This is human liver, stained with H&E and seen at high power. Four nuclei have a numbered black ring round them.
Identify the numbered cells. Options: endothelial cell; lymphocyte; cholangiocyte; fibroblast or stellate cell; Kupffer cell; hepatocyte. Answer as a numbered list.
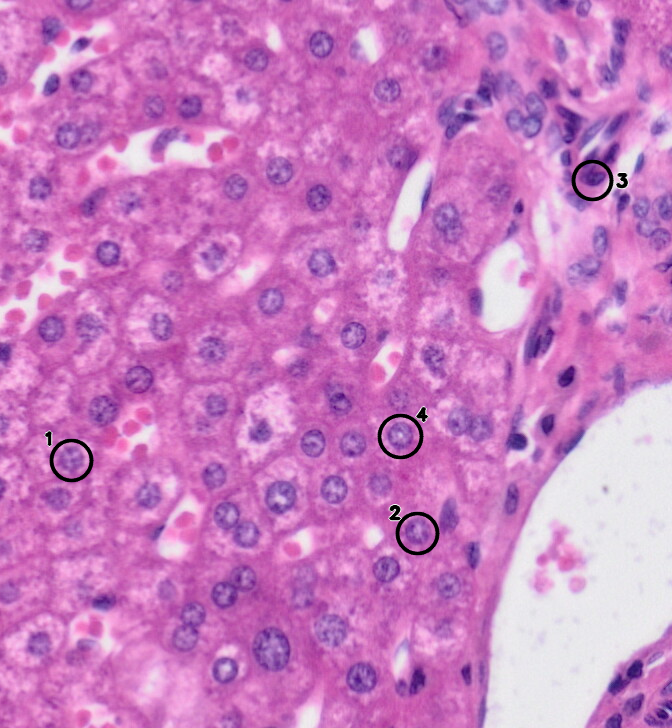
1. hepatocyte
2. hepatocyte
3. fibroblast or stellate cell
4. hepatocyte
